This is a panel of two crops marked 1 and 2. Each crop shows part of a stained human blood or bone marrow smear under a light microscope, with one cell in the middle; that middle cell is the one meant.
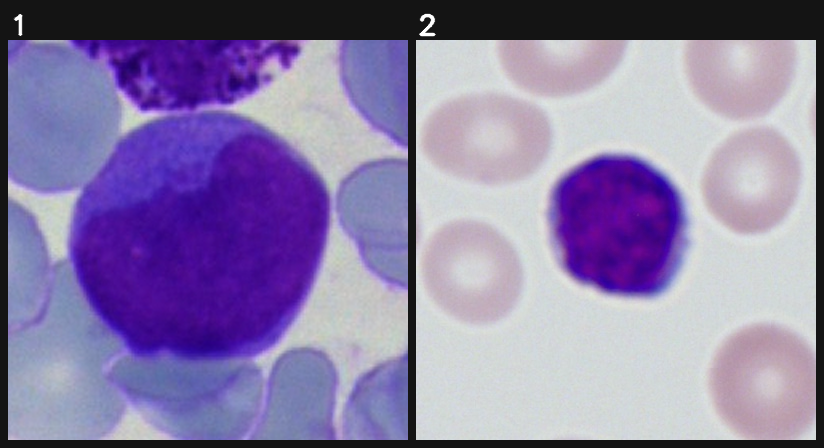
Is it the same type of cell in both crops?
no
